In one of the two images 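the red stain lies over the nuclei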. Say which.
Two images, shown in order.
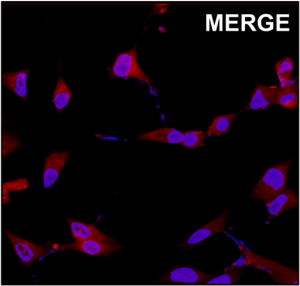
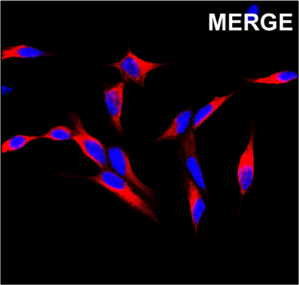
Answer: The first image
